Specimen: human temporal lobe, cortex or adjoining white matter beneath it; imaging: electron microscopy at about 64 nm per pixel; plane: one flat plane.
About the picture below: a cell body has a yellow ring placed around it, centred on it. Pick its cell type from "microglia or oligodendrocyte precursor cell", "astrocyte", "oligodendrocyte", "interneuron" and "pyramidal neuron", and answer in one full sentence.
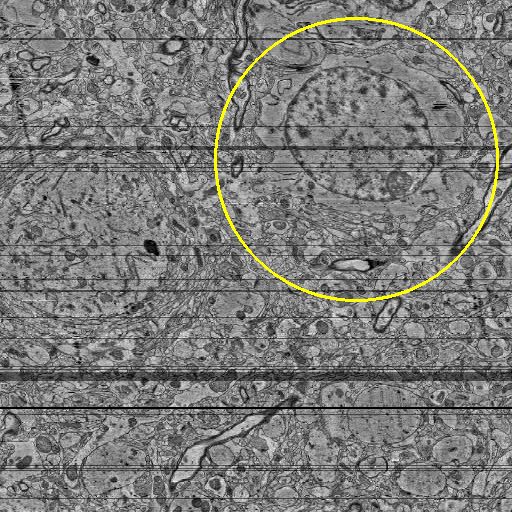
In the picture, an astrocyte is the cell sitting at the centre of the yellow ring.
